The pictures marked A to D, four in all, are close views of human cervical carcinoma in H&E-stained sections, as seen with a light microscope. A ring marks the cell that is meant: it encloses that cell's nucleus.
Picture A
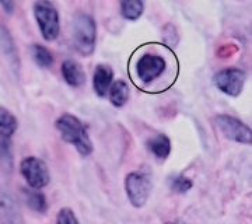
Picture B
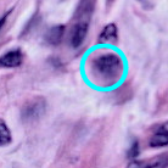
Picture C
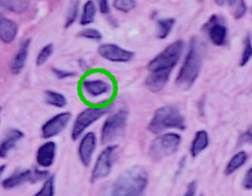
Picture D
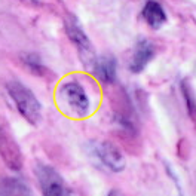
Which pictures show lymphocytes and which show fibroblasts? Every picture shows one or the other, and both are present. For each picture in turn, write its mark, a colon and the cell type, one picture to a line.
A: lymphocyte
B: lymphocyte
C: fibroblast
D: lymphocyte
